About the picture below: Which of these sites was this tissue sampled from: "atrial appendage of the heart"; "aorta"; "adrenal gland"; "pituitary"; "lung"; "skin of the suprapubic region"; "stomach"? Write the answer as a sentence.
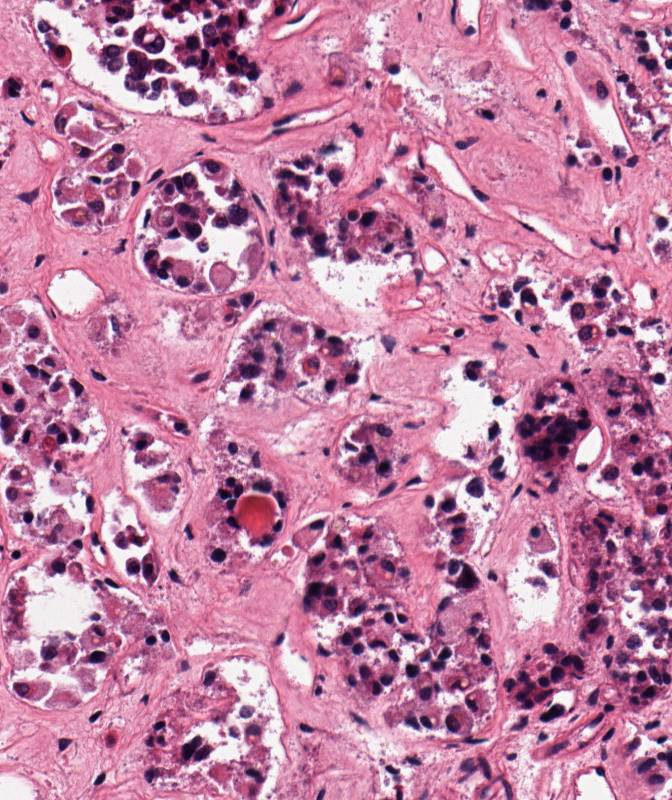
The site this tissue was sampled from is the pituitary.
